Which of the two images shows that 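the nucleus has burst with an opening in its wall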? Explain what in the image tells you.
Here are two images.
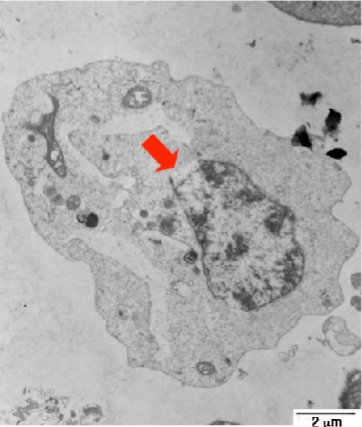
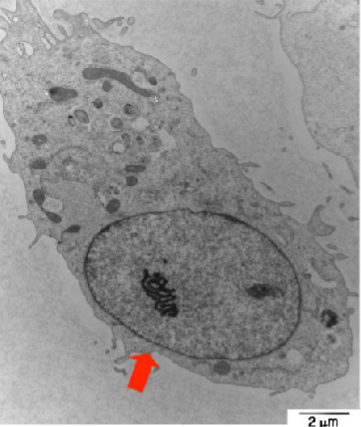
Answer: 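The first image. Second image: the nucleus is oval with a smooth, continuous envelope.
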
